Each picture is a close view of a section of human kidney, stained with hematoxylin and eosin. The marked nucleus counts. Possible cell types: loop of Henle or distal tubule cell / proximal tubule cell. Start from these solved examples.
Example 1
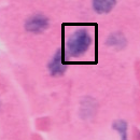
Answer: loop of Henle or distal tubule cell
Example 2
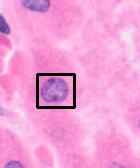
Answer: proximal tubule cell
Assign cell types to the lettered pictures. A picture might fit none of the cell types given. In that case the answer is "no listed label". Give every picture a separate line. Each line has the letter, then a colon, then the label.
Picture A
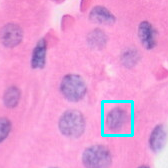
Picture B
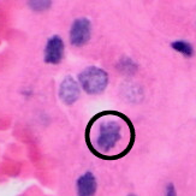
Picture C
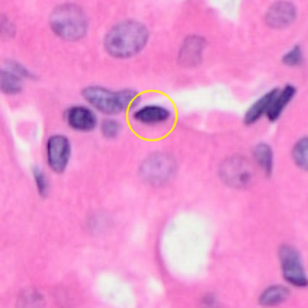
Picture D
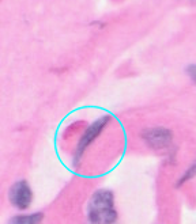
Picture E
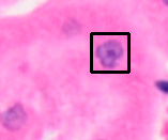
A: loop of Henle or distal tubule cell
B: loop of Henle or distal tubule cell
C: no listed label
D: no listed label
E: proximal tubule cell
